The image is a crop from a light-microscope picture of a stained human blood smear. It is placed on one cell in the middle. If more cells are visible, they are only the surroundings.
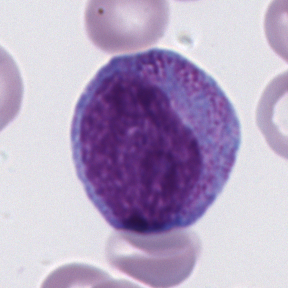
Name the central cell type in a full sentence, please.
The single cell at the center of the crop is a promyelocyte.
